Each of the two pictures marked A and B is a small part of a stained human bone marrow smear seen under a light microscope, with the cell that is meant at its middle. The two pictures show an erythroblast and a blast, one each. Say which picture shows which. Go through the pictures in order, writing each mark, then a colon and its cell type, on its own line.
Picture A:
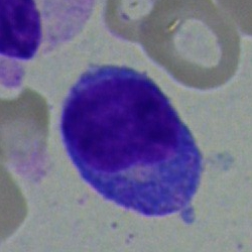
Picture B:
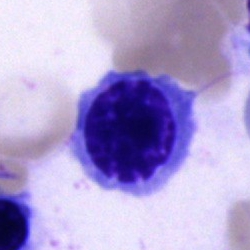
A: blast
B: erythroblast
